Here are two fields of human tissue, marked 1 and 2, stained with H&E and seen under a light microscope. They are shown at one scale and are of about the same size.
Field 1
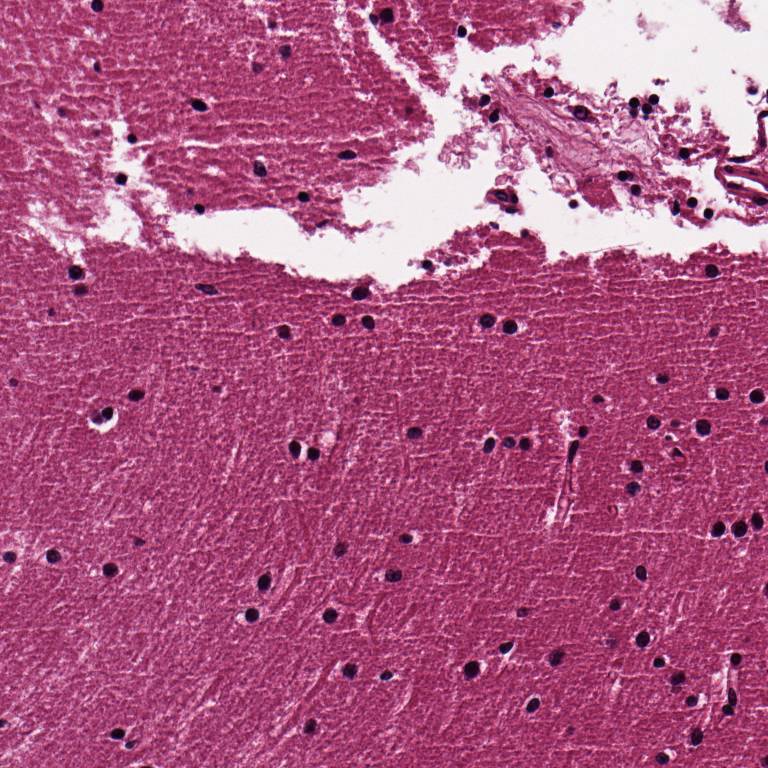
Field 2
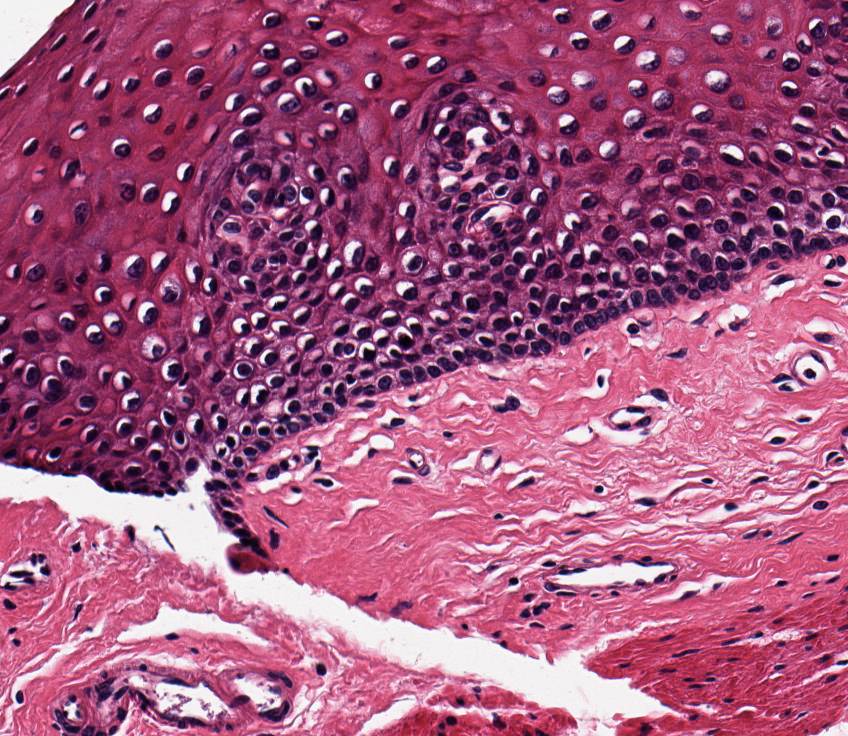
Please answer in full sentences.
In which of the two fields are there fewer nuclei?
It is field 1 that has fewer nuclei in it.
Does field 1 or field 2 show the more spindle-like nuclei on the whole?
Longer, more slender nuclei lie in field 2.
